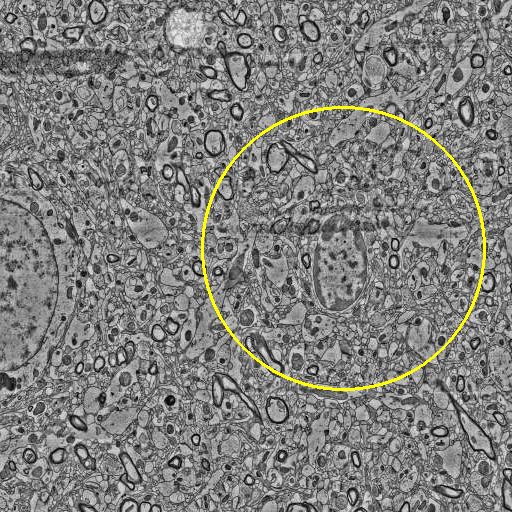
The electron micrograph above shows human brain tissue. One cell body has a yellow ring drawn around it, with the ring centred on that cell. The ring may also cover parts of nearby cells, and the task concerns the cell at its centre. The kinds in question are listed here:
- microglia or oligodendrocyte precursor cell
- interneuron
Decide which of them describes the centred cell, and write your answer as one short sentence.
The centred cell is a microglial cell or oligodendrocyte precursor cell.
